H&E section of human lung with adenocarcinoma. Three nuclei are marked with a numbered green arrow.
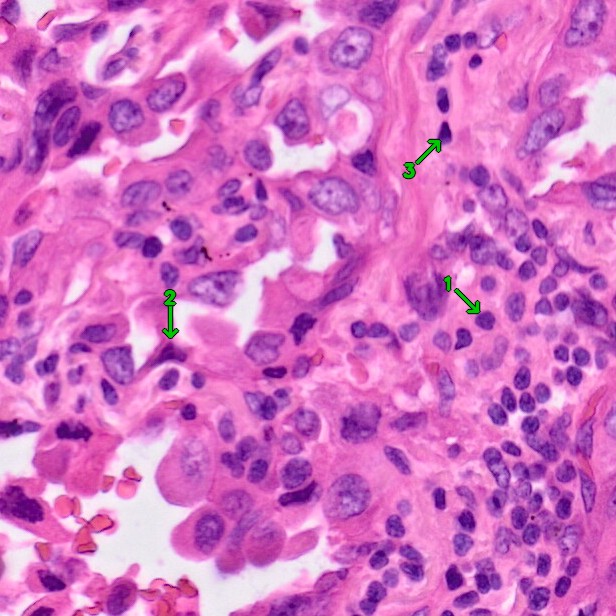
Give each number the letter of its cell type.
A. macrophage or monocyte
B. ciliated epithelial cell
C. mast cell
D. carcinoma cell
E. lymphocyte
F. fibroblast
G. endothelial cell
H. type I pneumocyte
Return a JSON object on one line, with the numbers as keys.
{"1": "E", "2": "D", "3": "E"}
